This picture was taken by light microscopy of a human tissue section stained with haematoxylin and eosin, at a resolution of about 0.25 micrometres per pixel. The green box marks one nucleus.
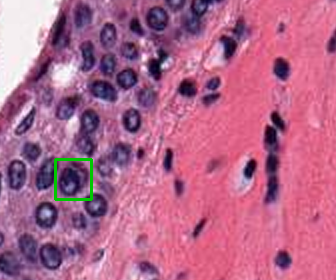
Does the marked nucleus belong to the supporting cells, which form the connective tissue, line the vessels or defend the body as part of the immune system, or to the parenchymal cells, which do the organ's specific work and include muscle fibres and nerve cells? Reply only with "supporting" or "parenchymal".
parenchymal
